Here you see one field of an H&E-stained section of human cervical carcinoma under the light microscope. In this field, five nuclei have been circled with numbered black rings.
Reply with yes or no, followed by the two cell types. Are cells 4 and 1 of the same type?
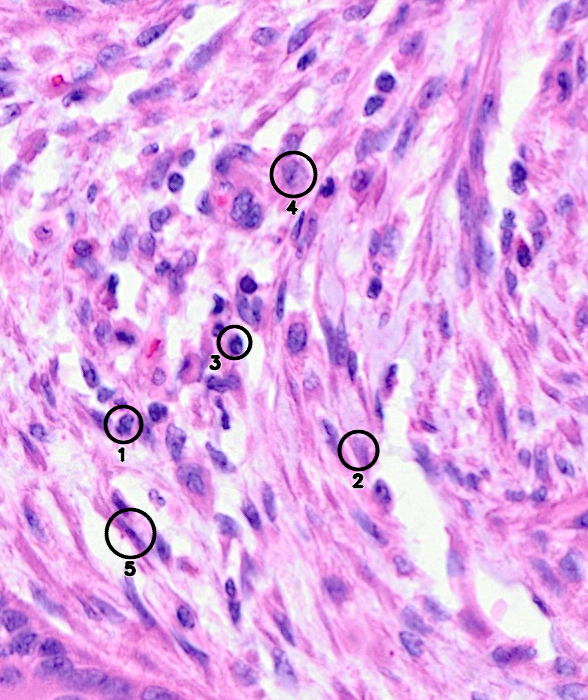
No, cell 4 is a macrophage or monocyte and cell 1 is a lymphocyte.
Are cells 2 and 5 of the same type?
Yes, both are fibroblasts.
